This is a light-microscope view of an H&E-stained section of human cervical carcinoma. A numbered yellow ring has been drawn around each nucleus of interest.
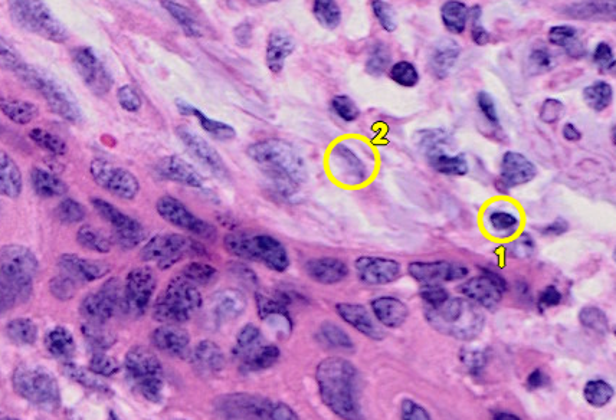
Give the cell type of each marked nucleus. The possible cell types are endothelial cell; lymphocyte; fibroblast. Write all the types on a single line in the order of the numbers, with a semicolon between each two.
lymphocyte; fibroblast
